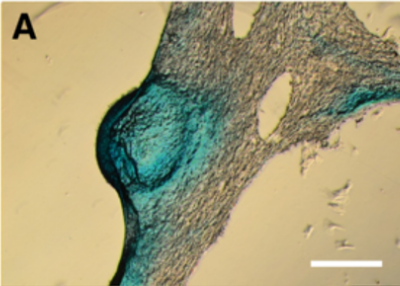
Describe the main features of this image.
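These cultured cells have drawn together into a dense, raised, rounded condensation that stains intensely blue-green, with a thick darker rim along its edge. Around it lies a looser sheet of spindle-shaped cells, only faintly blue, that streams away from the mass and has torn open in places, leaving bare dish.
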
